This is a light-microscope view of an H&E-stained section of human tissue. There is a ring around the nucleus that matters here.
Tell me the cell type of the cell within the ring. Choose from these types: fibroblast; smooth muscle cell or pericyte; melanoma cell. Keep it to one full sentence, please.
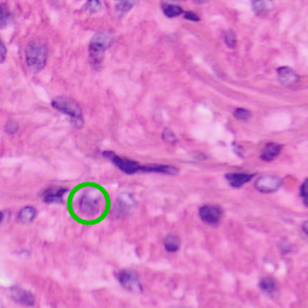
It is as a smooth muscle cell or pericyte that the cell within the ring is classified.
